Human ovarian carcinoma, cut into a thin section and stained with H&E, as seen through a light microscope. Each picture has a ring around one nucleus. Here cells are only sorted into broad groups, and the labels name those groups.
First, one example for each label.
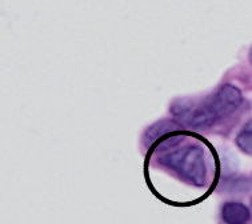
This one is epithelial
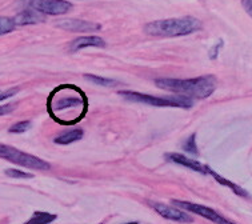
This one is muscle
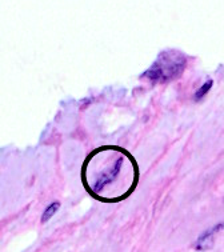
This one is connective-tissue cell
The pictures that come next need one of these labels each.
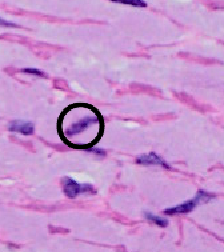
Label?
connective-tissue cell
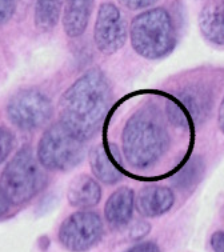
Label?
epithelial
